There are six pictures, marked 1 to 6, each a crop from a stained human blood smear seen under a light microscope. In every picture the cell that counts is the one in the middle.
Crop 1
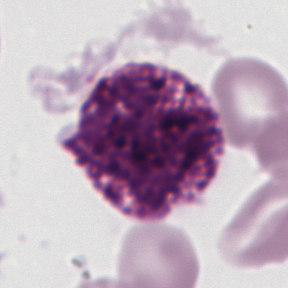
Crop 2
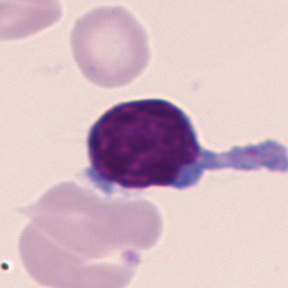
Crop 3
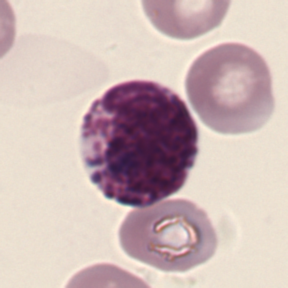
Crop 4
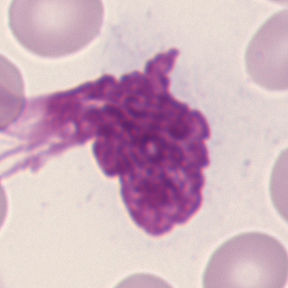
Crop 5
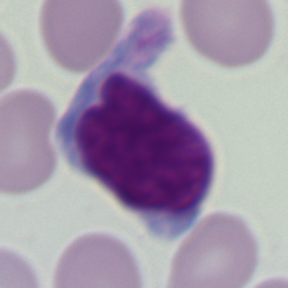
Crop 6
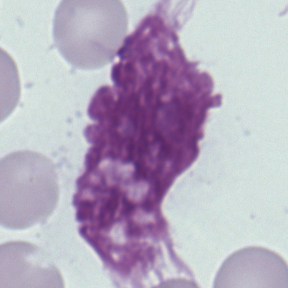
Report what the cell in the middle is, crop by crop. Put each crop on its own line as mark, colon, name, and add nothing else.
1: basophil
2: typical lymphocyte
3: basophil
4: smudge cell
5: typical lymphocyte
6: smudge cell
